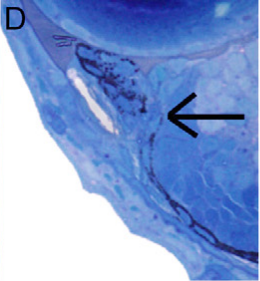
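A small section at the edge of the eye shows a dark blue rounded lens-like mass at the top, with a pale, elongated white cleft beside a thin layer of flattened tissue on the left. Next to it lies a small cluster of dark-outlined, dotted structures, from which a thin dark line runs downward along the curved outer wall. To the right are many rounded, pale blue cells packed together.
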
